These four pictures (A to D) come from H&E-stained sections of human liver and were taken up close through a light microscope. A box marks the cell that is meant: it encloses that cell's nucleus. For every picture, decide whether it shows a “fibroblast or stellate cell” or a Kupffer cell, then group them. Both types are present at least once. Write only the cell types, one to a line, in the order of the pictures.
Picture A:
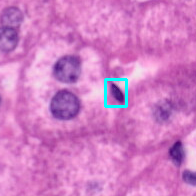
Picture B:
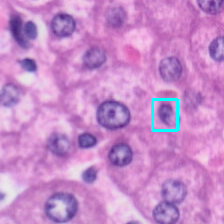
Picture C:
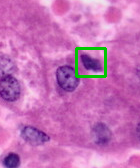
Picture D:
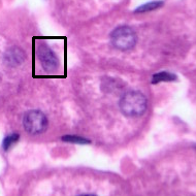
fibroblast or stellate cell
Kupffer cell
fibroblast or stellate cell
Kupffer cell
